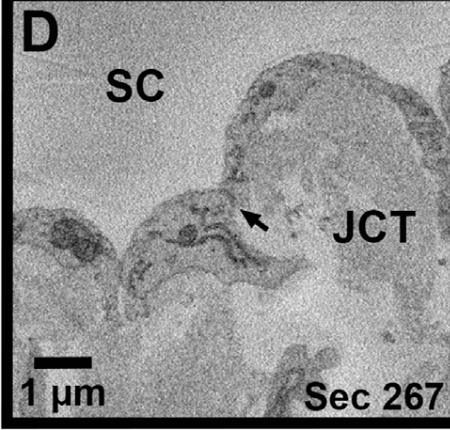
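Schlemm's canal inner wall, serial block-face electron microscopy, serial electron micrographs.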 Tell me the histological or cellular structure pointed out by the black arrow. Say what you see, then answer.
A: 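The arrow points to where the edges of two adjacent thin lining cells meet and overlap. On this evidence: cellular junction.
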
